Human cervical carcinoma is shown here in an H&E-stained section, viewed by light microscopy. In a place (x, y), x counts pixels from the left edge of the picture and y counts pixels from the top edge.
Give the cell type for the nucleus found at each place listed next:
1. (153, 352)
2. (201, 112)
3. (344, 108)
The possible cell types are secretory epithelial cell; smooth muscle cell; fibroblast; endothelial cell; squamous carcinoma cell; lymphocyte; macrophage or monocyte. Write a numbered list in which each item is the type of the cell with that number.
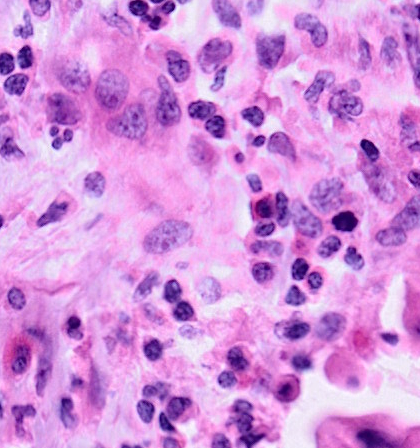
1. lymphocyte
2. lymphocyte
3. macrophage or monocyte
